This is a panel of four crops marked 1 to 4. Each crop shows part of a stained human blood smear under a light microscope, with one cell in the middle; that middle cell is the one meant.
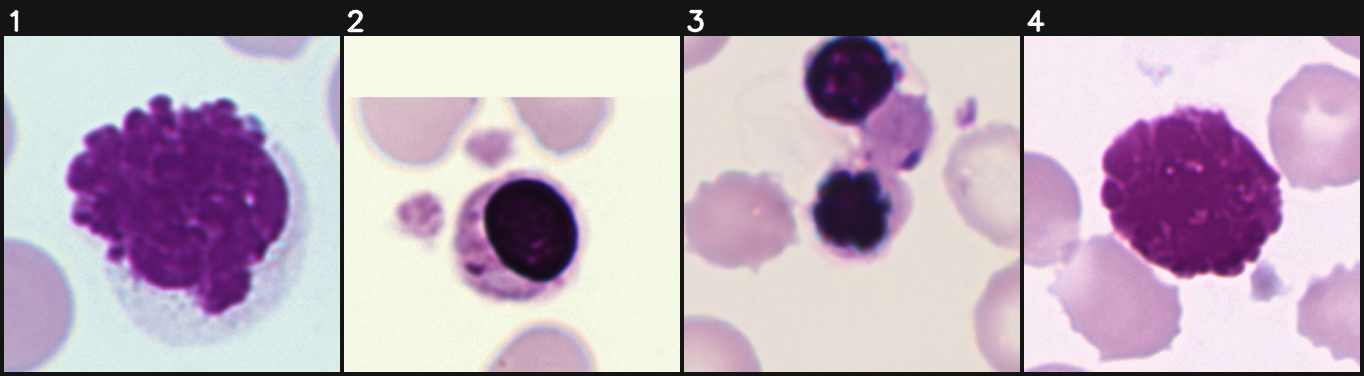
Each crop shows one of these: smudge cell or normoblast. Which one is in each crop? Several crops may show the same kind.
1: smudge cell
2: normoblast
3: normoblast
4: smudge cell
